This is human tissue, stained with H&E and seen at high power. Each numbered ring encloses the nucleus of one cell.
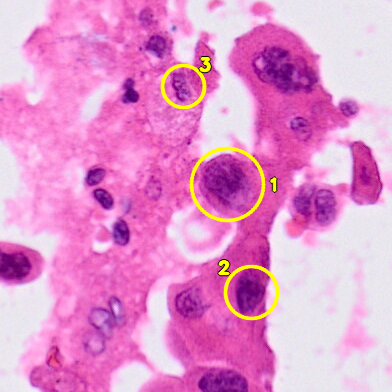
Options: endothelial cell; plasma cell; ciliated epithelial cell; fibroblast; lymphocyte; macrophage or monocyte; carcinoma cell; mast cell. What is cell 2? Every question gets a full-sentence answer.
In the tissue shown, cell 2 is a carcinoma cell.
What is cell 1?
The marked cell bearing number 1 is a carcinoma cell.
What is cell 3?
The cell whose nucleus carries the number 3 is a macrophage or monocyte.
